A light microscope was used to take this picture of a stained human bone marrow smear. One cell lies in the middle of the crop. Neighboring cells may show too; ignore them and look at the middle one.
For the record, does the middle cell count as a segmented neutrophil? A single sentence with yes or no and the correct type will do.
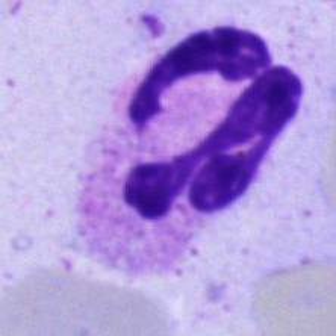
Yes, in this crop the cell in the middle is a segmented neutrophil.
